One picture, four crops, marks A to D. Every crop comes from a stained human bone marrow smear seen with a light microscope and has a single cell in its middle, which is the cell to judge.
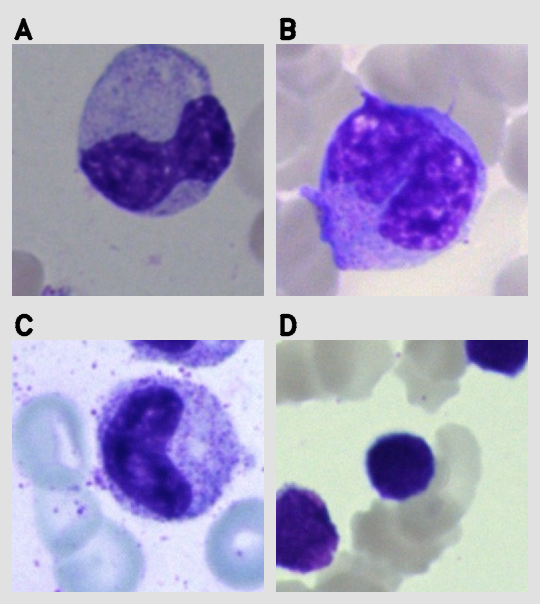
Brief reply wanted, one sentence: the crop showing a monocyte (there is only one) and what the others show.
In crop B there is a monocyte, while crop A is a band neutrophil, crop C is a metamyelocyte and crop D is a lymphocyte.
